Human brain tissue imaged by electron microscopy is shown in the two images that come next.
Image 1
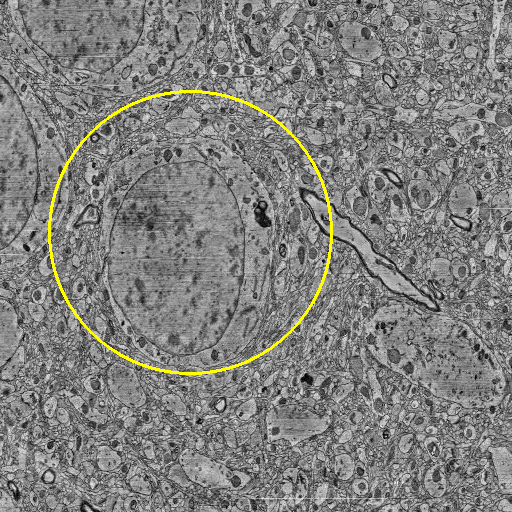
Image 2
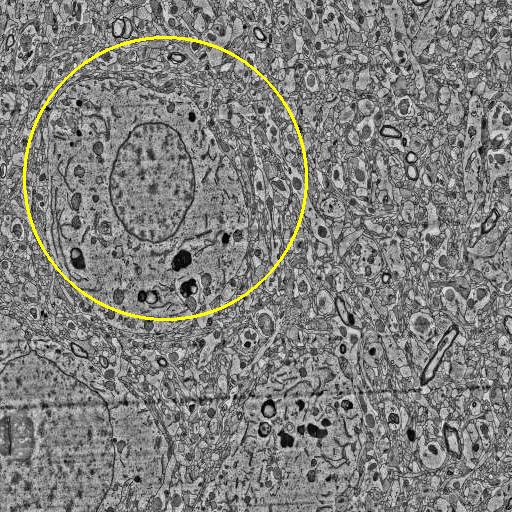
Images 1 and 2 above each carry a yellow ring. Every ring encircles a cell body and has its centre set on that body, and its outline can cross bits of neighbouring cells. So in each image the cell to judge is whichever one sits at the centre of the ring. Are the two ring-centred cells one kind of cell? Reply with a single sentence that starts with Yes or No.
Yes, in Image 1 and Image 2 the cells at the centres of their rings fall into one type.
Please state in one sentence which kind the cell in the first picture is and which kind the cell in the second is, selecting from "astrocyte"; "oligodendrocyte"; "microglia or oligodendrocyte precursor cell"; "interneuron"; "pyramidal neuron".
Each cell at the centre of a ring is a pyramidal neuron.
